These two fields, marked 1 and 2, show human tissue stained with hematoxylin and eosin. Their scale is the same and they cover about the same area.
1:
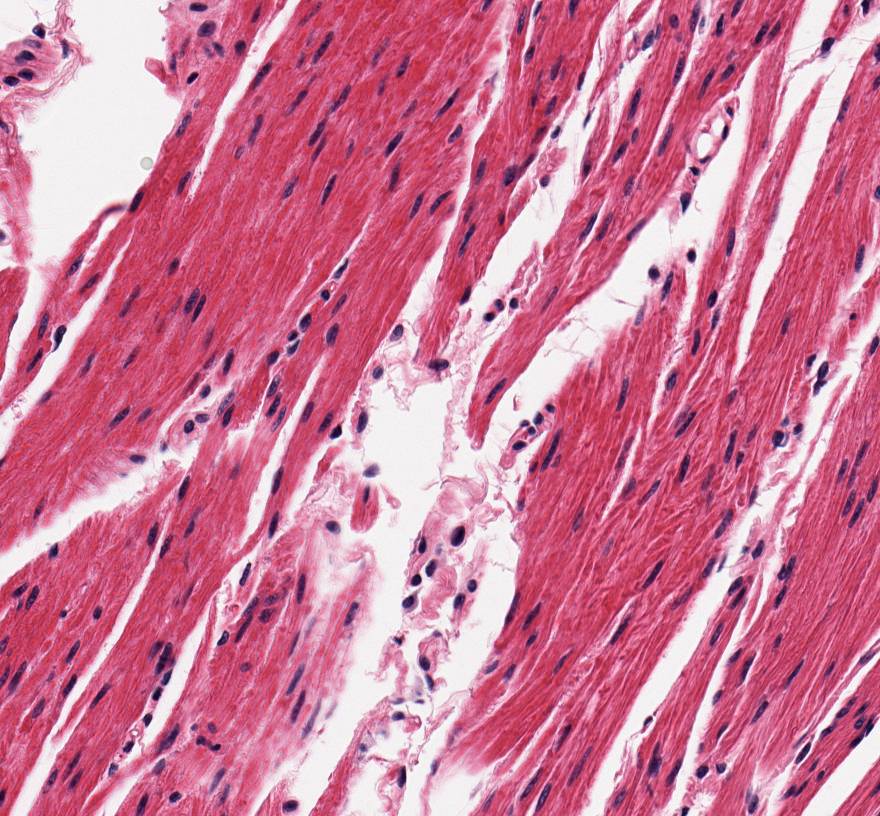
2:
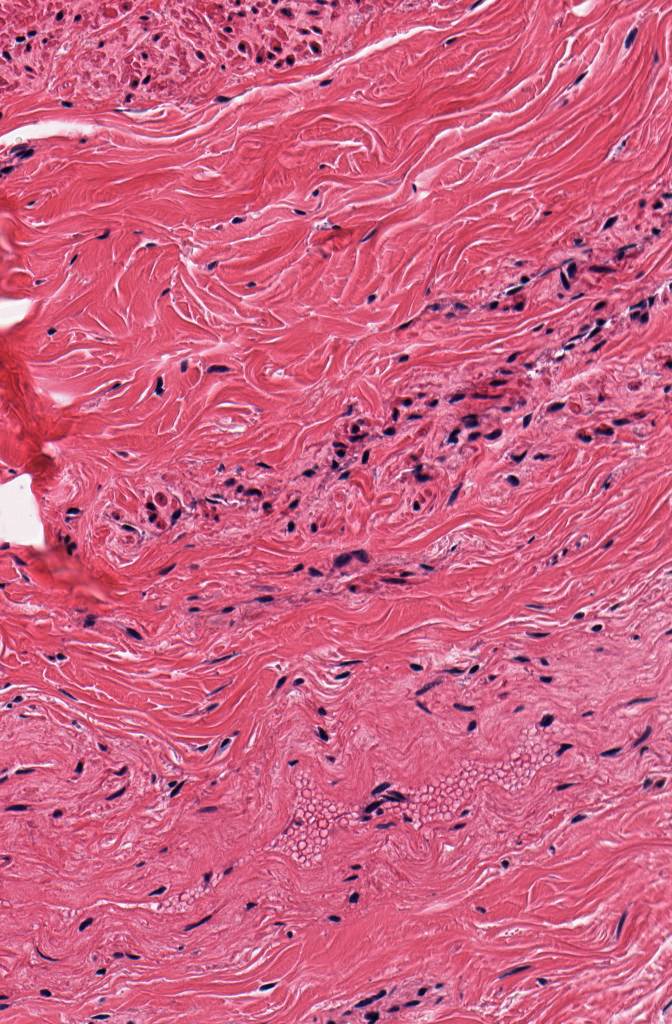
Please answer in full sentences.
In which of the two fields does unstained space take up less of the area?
Picture 2 has less white space.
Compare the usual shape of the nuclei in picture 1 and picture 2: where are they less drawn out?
Rounder nuclei lie in picture 2.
